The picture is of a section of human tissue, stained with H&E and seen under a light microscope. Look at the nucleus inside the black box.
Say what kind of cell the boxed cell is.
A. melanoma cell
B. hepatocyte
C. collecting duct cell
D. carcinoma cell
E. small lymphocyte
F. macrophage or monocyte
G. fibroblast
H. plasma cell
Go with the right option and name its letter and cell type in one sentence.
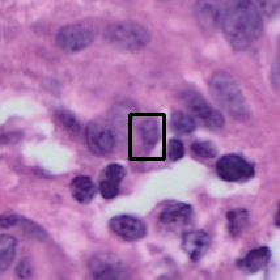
The choice that fits is option D, as the boxed cell is a carcinoma cell.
